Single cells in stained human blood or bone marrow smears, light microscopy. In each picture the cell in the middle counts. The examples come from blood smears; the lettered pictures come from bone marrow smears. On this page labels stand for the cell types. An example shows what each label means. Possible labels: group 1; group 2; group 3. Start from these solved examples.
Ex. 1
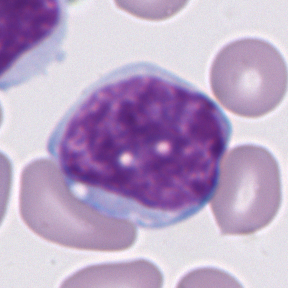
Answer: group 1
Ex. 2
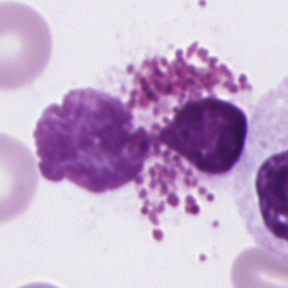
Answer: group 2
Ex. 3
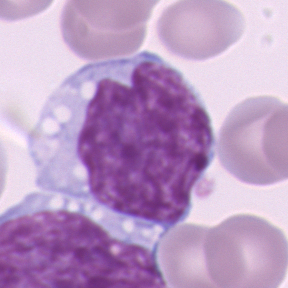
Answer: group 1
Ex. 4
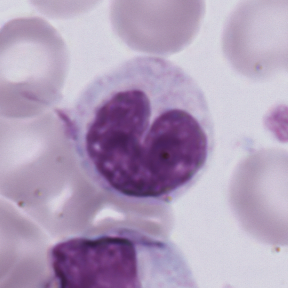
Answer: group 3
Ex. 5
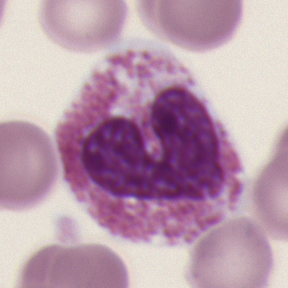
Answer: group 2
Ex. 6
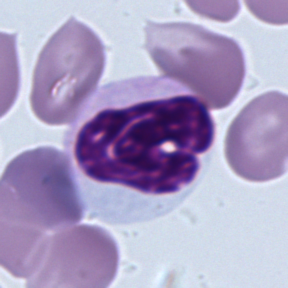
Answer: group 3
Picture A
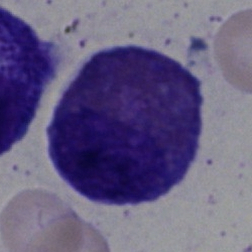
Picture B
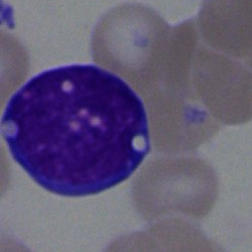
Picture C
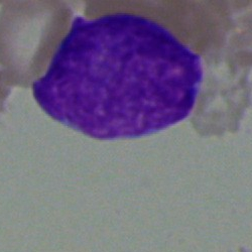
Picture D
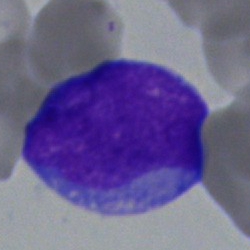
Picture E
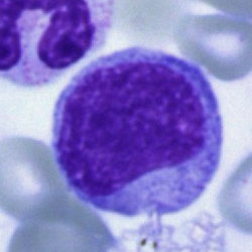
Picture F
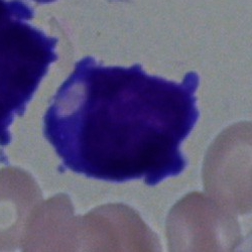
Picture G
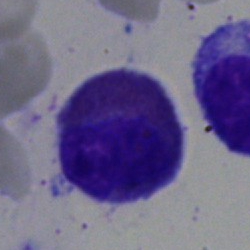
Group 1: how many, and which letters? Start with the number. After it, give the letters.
5: B, C, D, E, F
